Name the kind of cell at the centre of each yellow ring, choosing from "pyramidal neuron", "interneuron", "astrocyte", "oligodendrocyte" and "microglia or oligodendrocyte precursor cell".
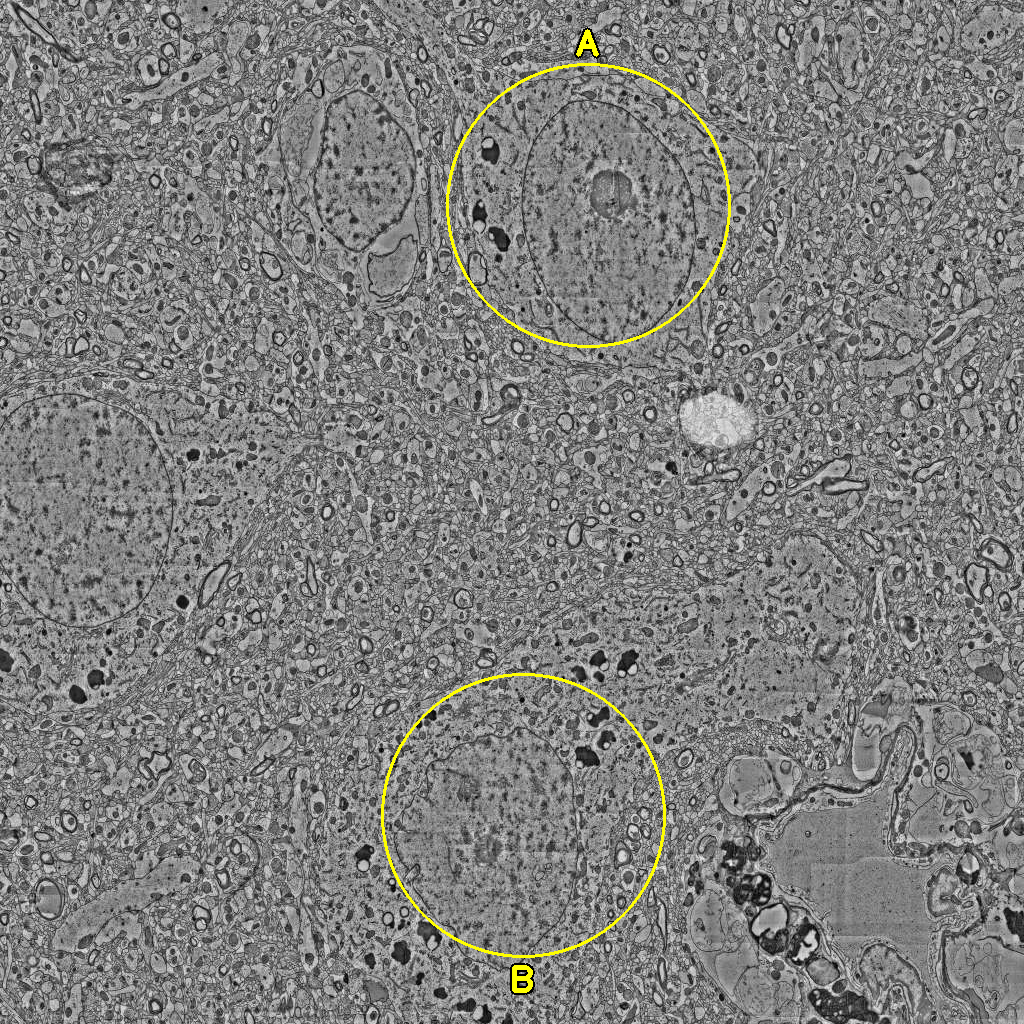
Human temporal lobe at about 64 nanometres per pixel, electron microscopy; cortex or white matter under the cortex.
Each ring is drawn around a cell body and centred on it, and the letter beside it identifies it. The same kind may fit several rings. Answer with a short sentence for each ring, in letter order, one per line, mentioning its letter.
Ring A is drawn around a pyramidal neuron.
Ring B is drawn around a pyramidal neuron.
